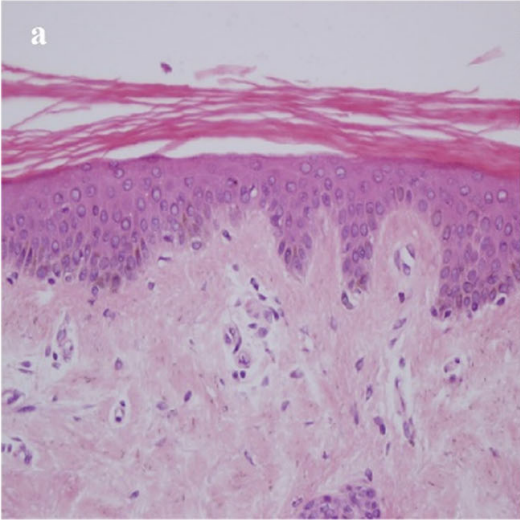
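This is skin, with a stratified squamous epidermis of cells with purple nuclei resting on a pink dermis, the epidermis sending ridges down into it. The dermis beneath has pale pink collagen with small superficial vessels and scattered small dark nuclei around them.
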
